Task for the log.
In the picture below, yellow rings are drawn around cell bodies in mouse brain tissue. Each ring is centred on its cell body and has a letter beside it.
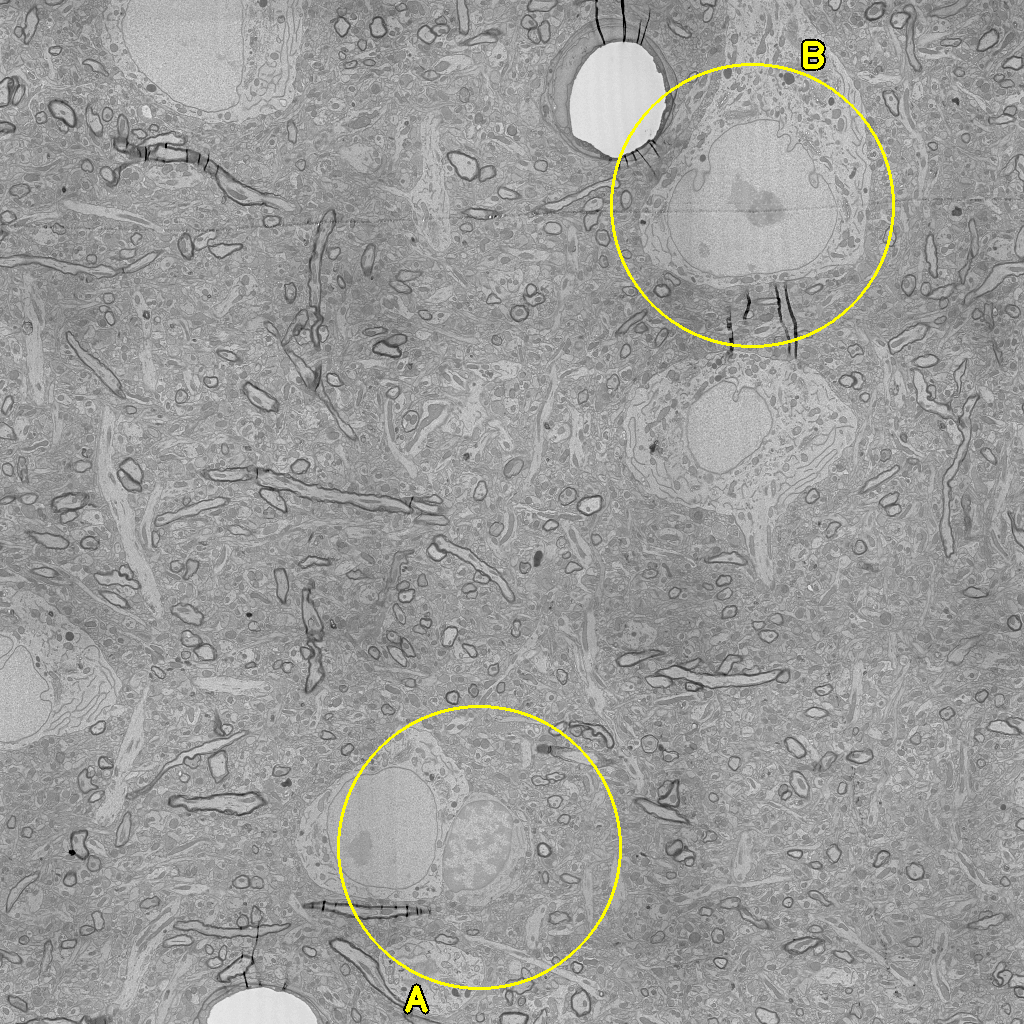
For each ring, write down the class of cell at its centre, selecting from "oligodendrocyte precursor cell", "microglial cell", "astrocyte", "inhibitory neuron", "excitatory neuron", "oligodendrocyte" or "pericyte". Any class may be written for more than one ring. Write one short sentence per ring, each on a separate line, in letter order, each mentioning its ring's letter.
The cell inside ring A, at its centre, is an oligodendrocyte.
The cell inside ring B, at its centre, is an excitatory neuron.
